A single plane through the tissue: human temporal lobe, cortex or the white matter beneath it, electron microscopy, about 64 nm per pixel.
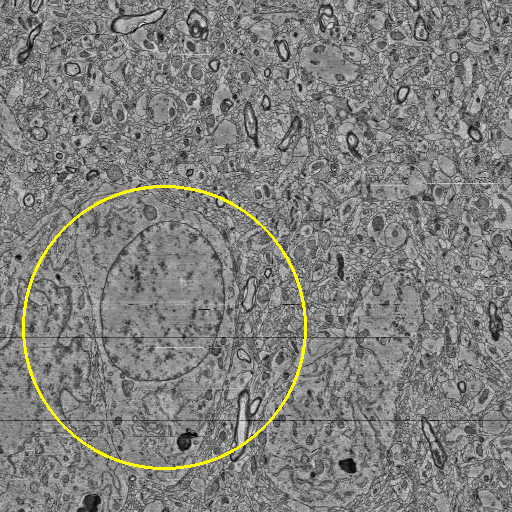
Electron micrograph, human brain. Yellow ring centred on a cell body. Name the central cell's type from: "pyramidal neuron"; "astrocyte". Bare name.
pyramidal neuron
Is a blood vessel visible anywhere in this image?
No, none is visible.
